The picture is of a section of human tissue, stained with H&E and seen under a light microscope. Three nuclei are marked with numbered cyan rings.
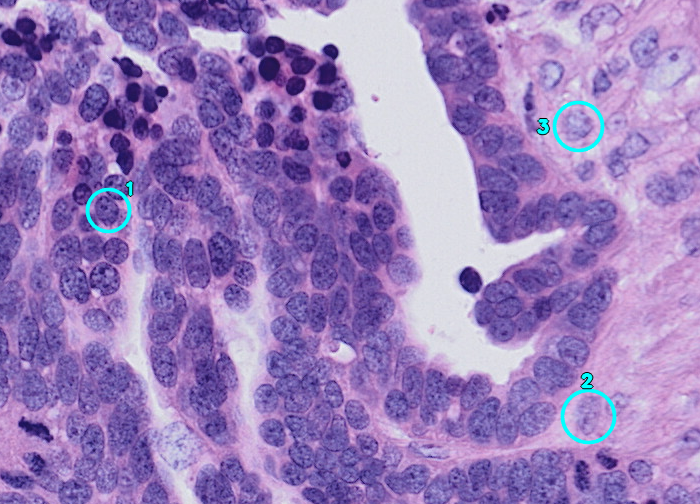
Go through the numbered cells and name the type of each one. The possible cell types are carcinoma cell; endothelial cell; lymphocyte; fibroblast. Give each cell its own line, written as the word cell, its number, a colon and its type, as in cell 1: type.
cell 1: carcinoma cell
cell 2: fibroblast
cell 3: fibroblast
